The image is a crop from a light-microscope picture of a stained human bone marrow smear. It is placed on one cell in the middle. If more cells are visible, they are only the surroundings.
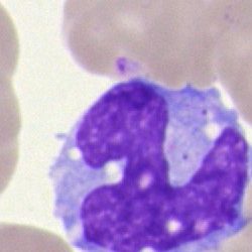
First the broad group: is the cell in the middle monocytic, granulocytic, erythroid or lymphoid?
monocytic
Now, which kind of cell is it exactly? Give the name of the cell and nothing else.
monocyte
